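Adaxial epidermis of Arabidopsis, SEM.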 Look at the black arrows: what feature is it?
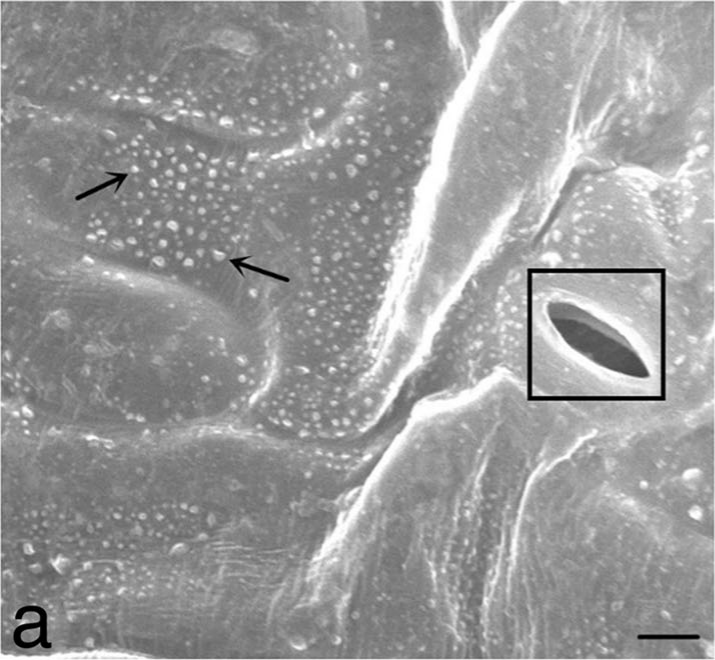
Epicuticular wax crystals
